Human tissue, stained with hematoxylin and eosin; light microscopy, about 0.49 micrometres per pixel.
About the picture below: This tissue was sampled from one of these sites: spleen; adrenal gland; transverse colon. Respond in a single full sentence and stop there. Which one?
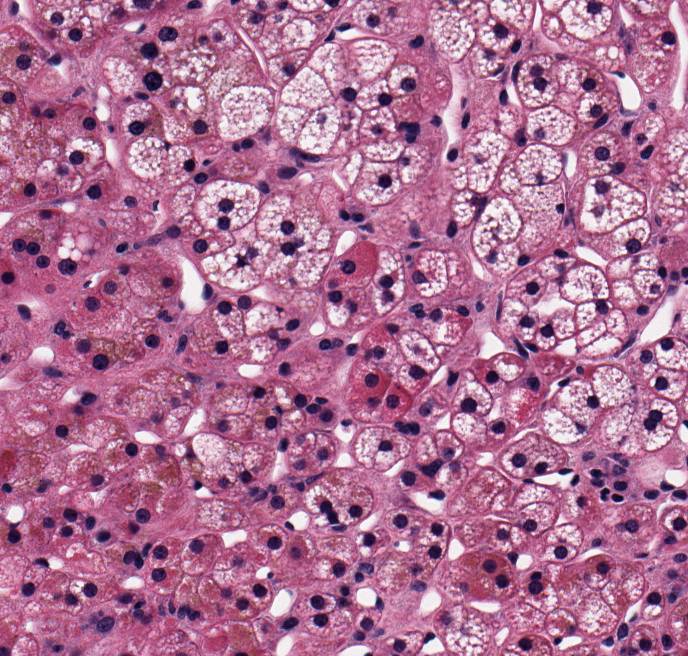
This section represents tissue sampled from the adrenal gland.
